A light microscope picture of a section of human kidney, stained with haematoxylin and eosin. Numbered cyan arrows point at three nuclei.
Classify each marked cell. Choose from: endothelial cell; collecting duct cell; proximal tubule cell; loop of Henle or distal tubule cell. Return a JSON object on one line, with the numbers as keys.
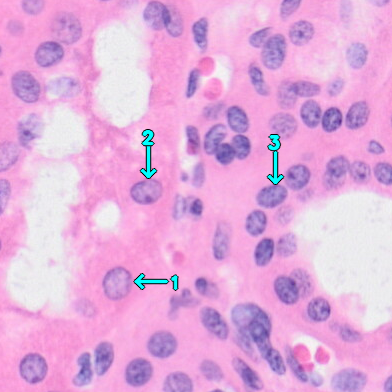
{"1": "proximal tubule cell", "2": "proximal tubule cell", "3": "collecting duct cell"}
